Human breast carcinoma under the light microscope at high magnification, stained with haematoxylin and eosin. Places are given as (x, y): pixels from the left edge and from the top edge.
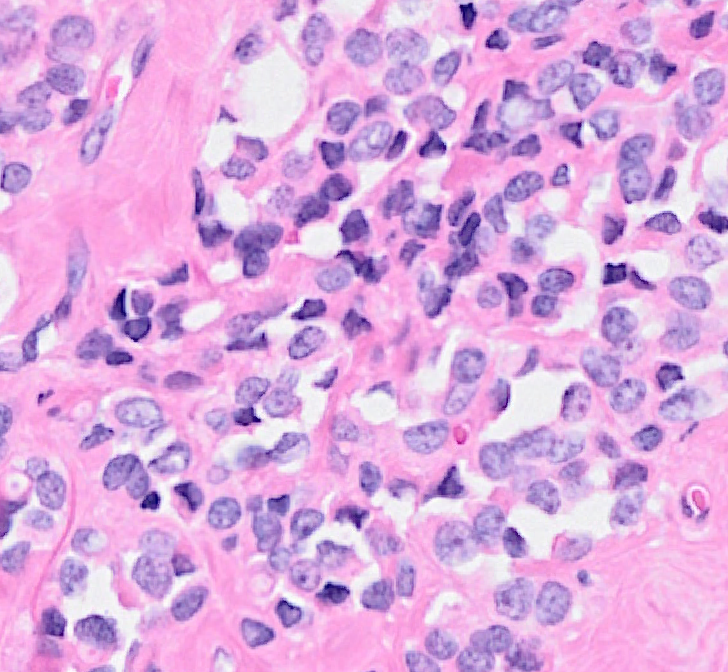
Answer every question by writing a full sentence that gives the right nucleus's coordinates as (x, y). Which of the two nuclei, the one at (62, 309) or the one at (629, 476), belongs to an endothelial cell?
Of the two candidate nuclei, the one at (62, 309) is that of an endothelial cell.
